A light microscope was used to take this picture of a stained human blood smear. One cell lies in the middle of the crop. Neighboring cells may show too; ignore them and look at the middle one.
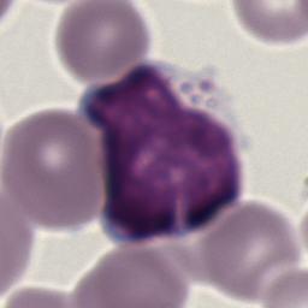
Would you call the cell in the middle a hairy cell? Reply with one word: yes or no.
no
